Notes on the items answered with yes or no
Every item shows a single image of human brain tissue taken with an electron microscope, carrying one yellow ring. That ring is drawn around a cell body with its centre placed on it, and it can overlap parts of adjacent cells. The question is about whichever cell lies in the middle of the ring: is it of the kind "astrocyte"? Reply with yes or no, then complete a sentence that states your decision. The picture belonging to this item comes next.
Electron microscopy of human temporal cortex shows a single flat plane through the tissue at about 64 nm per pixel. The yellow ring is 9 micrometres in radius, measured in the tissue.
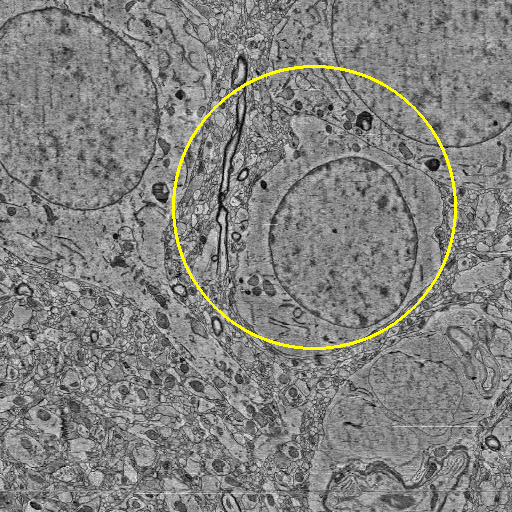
Yes, this micrograph shows a cell of that kind in the middle of the ring.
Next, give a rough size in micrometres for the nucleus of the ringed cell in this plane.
The ringed cell's nucleus is about 11 micrometres long and 9 micrometres wide in this plane.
